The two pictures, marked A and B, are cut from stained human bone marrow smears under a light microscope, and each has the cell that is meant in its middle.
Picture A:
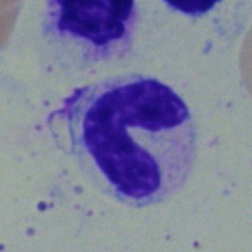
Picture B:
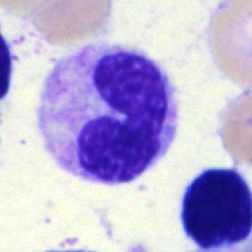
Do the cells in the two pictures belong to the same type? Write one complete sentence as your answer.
Yes, both cells are band neutrophils.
